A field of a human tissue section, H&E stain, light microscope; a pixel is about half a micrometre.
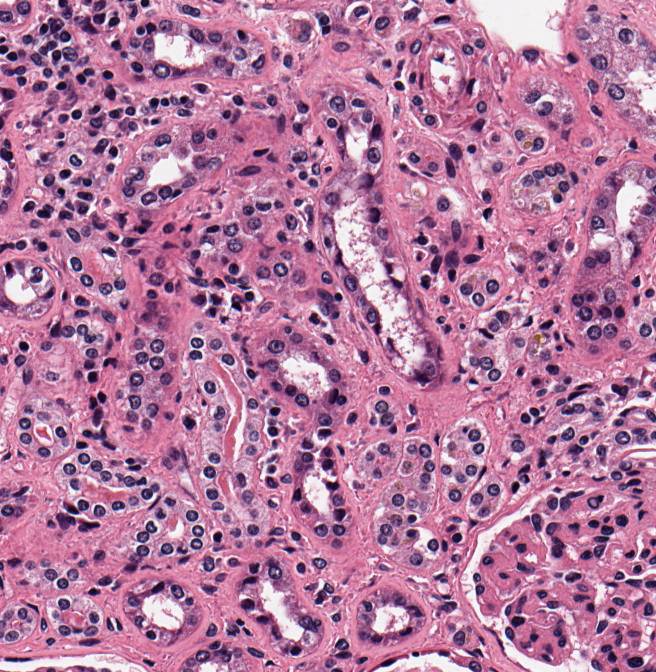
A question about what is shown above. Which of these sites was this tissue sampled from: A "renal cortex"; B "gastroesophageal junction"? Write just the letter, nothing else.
A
